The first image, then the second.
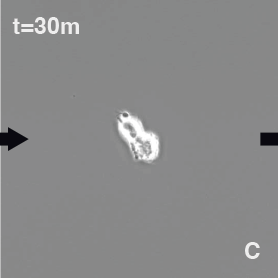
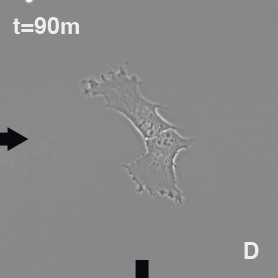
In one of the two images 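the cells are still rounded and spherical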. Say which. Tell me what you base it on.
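The first image. Second image: the cells are spread flat with irregular ruffled edges. First image: two bright, compact, round bodies lie side by side.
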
